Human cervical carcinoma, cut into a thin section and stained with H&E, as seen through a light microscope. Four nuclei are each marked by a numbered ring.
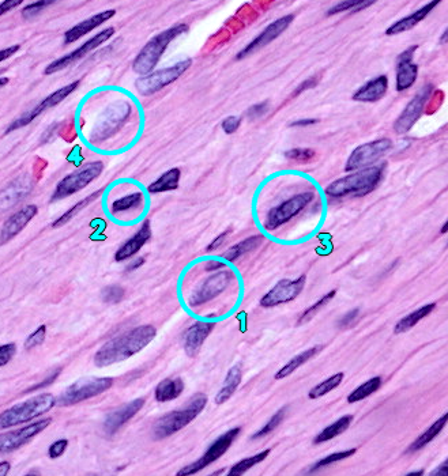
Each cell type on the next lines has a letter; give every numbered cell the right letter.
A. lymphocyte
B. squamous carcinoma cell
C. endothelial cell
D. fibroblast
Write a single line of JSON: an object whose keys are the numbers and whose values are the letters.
{"1": "C", "2": "D", "3": "C", "4": "C"}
